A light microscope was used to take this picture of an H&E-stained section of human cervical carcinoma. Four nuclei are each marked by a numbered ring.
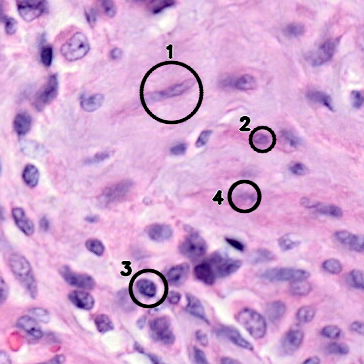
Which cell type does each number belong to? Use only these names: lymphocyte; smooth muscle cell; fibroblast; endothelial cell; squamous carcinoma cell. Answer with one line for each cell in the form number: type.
1: smooth muscle cell
2: smooth muscle cell
3: lymphocyte
4: smooth muscle cell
